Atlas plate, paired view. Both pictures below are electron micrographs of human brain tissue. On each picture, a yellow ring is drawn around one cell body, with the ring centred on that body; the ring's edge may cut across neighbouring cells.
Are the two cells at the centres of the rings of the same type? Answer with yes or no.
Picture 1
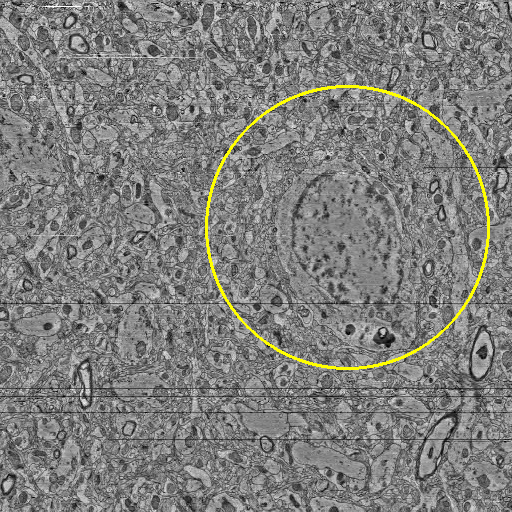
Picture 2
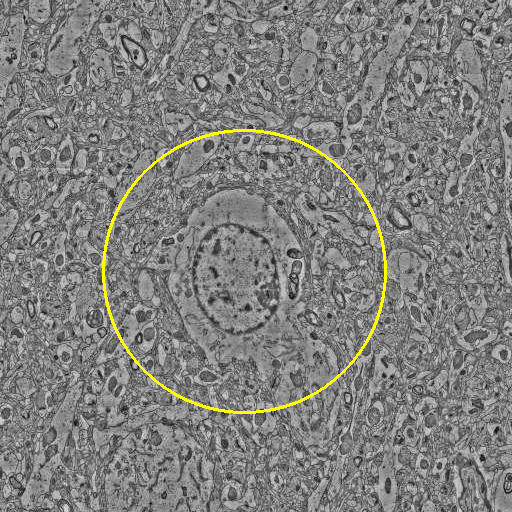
no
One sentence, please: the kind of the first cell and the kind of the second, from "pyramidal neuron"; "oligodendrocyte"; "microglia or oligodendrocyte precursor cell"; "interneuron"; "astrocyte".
The ring in the first picture surrounds an interneuron, and the ring in the second surrounds an astrocyte.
